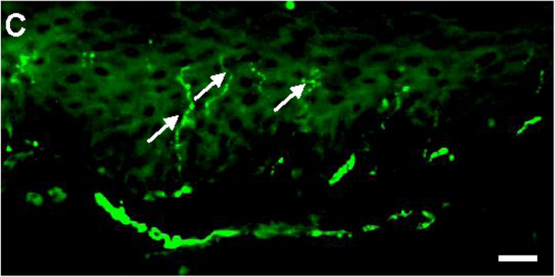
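The upper part of the field is the epidermis. It glows a faint diffuse green and is pierced by many small dark round holes, giving a honeycomb look. Several very thin, beaded bright green threads climb through this layer from below and branch between the holes. Beneath the epidermis, in the dark underlying tissue, a thicker, brightly labelled, beaded fibre runs horizontally in a long curving line. Short bright fragments of other fibres are scattered nearby. The lower part of the field is largely dark.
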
